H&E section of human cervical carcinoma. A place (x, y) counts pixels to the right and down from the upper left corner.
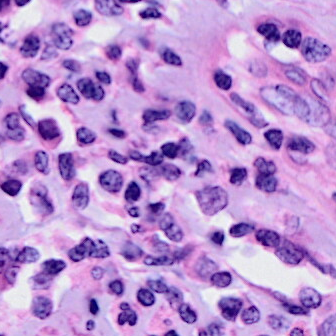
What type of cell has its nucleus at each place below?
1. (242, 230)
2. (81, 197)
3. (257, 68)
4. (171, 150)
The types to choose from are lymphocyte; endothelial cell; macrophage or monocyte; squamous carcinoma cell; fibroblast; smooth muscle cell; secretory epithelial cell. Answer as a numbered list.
1. lymphocyte
2. lymphocyte
3. endothelial cell
4. lymphocyte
